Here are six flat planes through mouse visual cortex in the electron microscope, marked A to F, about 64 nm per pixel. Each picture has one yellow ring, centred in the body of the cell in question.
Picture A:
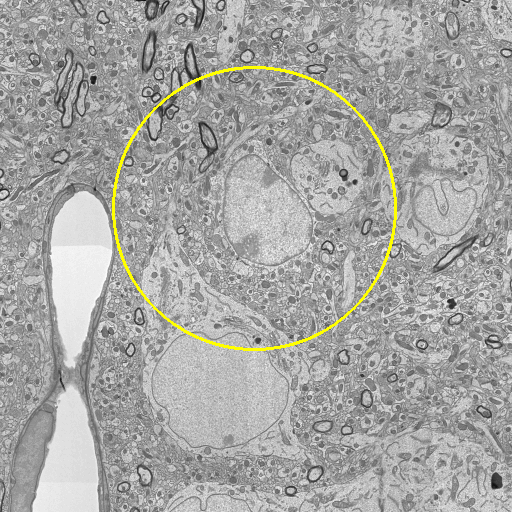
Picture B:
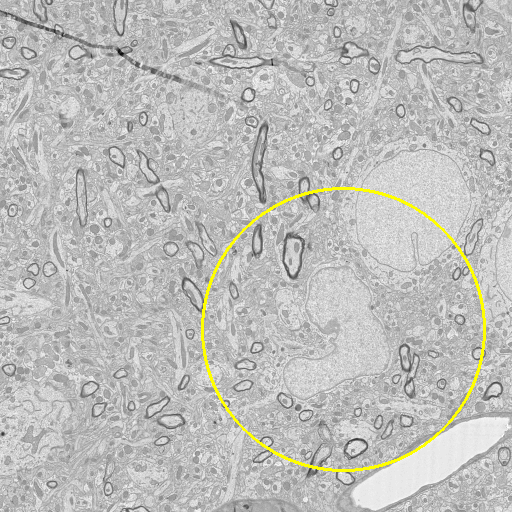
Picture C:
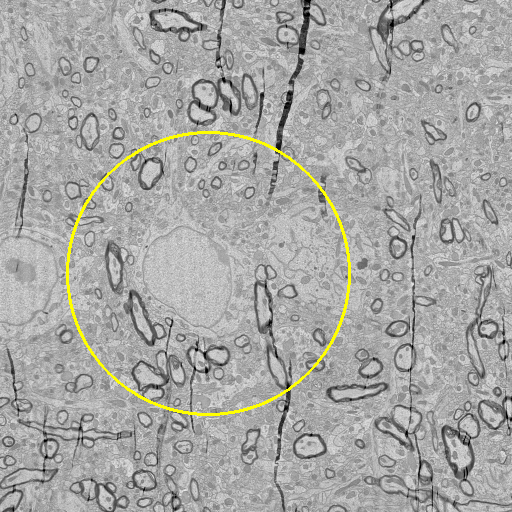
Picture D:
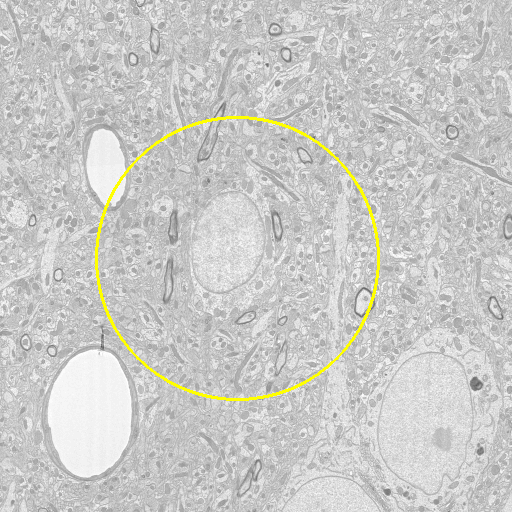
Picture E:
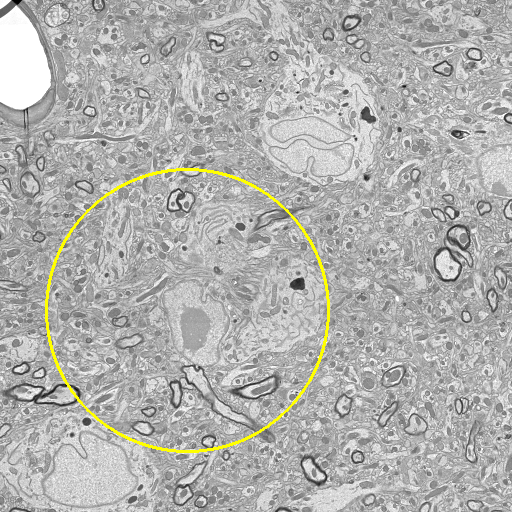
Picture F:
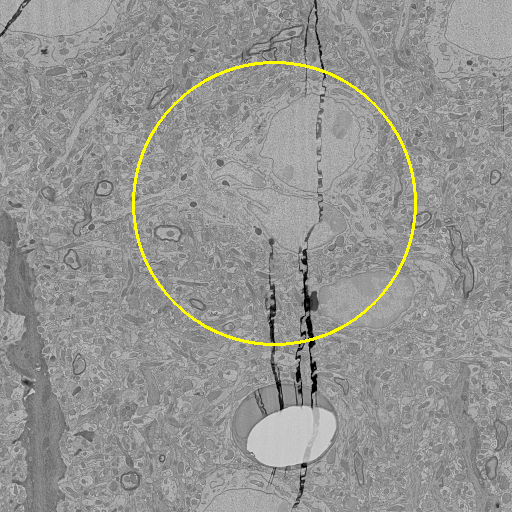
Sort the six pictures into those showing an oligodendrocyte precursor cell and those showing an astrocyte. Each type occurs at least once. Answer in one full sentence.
Pictures B, C, E and F show oligodendrocyte precursor cells, and pictures A and D show astrocytes.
